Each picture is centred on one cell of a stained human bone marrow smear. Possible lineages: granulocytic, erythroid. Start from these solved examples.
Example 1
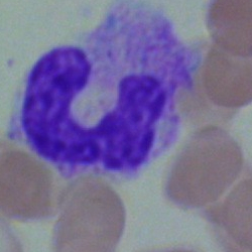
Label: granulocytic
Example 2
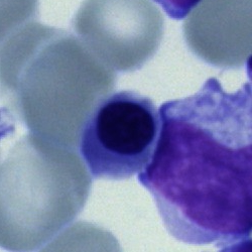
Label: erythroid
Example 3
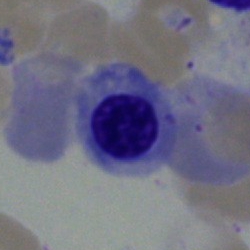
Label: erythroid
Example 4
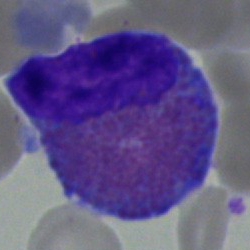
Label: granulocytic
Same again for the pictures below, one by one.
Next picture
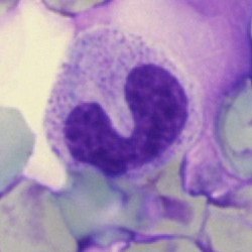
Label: granulocytic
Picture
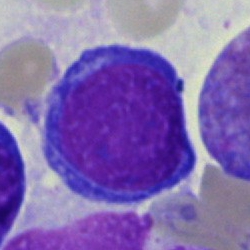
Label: erythroid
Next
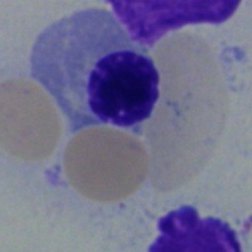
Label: erythroid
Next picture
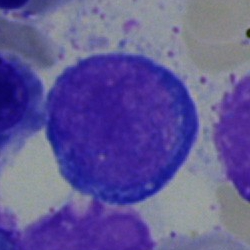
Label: erythroid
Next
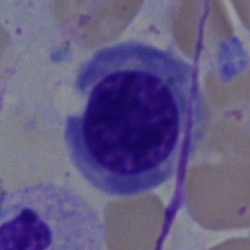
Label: erythroid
